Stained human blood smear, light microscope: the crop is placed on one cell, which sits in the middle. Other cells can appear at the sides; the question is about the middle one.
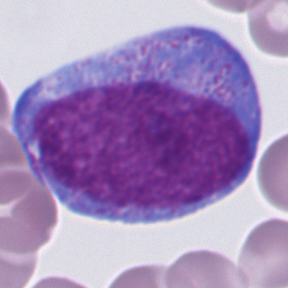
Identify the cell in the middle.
promyelocyte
